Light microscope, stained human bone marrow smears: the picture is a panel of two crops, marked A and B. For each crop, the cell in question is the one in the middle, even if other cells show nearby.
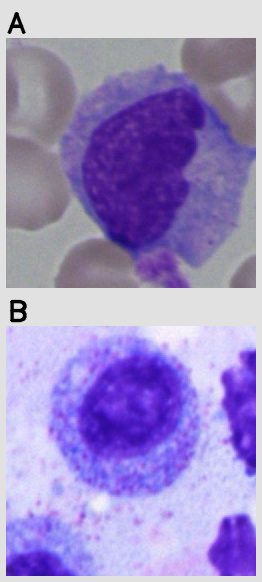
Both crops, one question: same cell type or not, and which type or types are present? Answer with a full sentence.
No, as for crop A, it shows a monocyte, and crop B shows a myelocyte.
